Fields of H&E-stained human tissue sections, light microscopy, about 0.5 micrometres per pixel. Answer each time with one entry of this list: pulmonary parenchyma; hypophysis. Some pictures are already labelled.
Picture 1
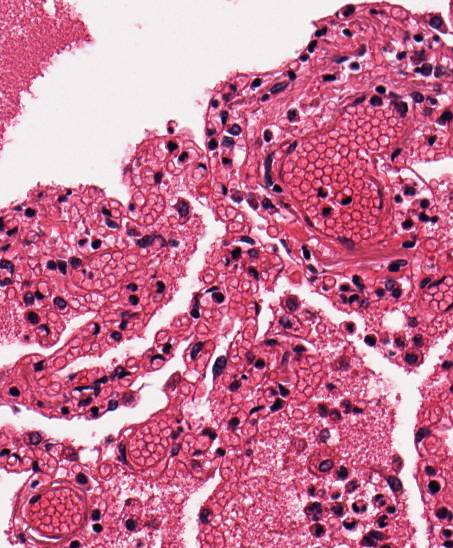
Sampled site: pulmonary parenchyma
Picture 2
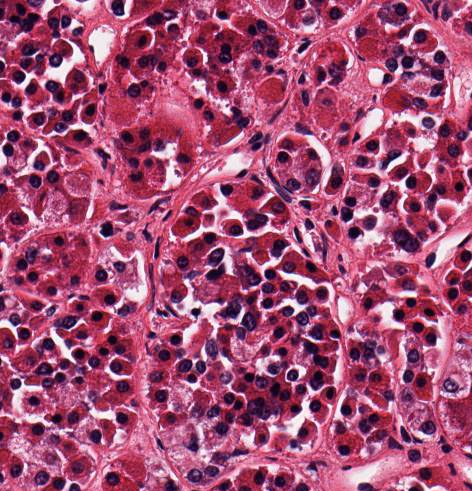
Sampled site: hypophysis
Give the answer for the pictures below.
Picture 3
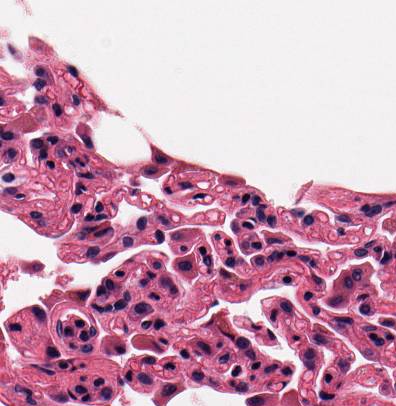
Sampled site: pulmonary parenchyma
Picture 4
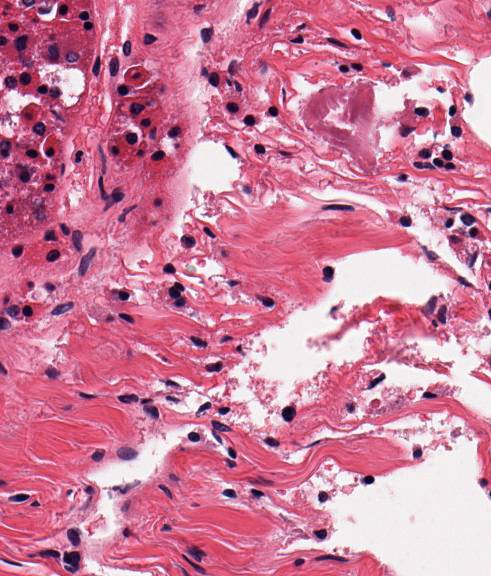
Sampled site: hypophysis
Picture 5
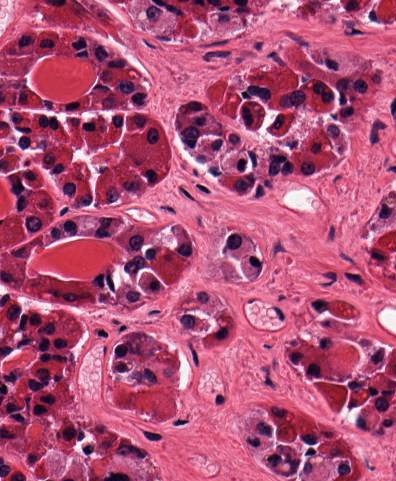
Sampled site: hypophysis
